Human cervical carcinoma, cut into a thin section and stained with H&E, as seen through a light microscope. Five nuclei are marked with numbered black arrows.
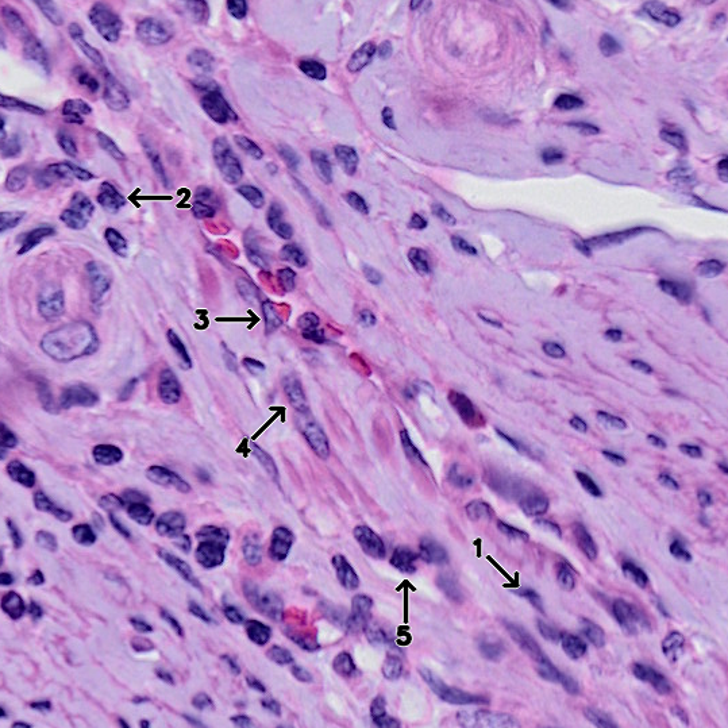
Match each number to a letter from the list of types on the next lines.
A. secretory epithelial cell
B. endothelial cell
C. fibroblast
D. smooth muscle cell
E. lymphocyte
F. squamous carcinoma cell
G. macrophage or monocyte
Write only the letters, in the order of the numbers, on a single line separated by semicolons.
C; E; B; D; E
